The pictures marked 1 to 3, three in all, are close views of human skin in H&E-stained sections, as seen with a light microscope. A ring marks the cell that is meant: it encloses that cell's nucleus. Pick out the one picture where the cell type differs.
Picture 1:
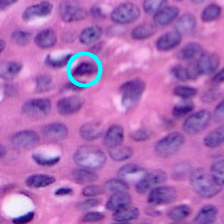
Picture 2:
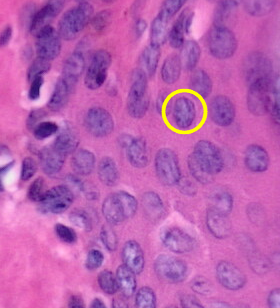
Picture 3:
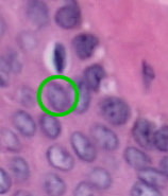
1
